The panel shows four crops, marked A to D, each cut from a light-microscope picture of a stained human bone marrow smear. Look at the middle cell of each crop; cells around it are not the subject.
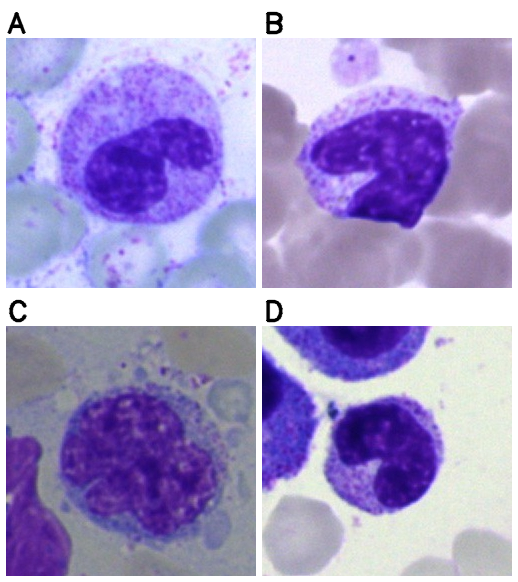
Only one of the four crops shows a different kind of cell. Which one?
C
